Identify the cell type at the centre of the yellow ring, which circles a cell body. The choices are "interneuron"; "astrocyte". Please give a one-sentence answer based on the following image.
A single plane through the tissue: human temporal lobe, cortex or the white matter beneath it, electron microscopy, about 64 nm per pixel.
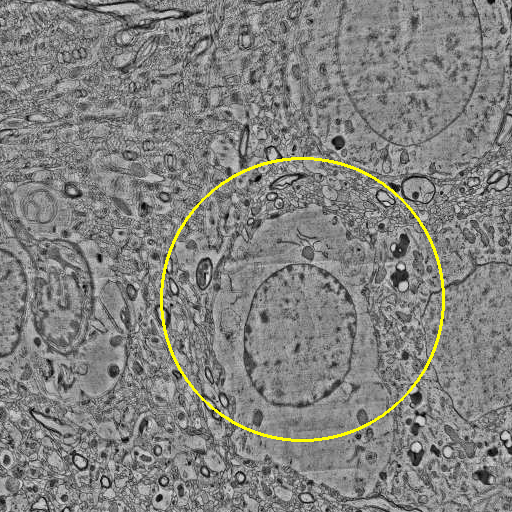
The cell marked by the ring is an astrocyte.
